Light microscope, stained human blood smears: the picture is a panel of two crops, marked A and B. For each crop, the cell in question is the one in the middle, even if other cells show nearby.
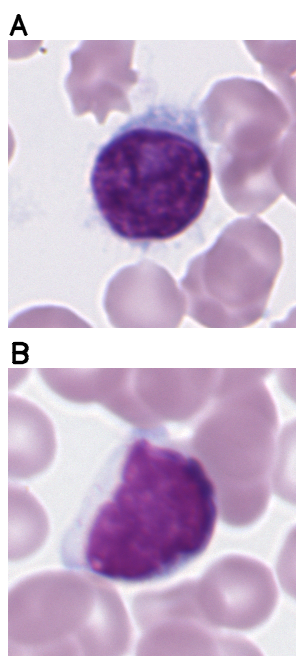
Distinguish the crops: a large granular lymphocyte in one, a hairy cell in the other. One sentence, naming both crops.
The cell of crop A is a hairy cell; that of crop B is a large granular lymphocyte.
